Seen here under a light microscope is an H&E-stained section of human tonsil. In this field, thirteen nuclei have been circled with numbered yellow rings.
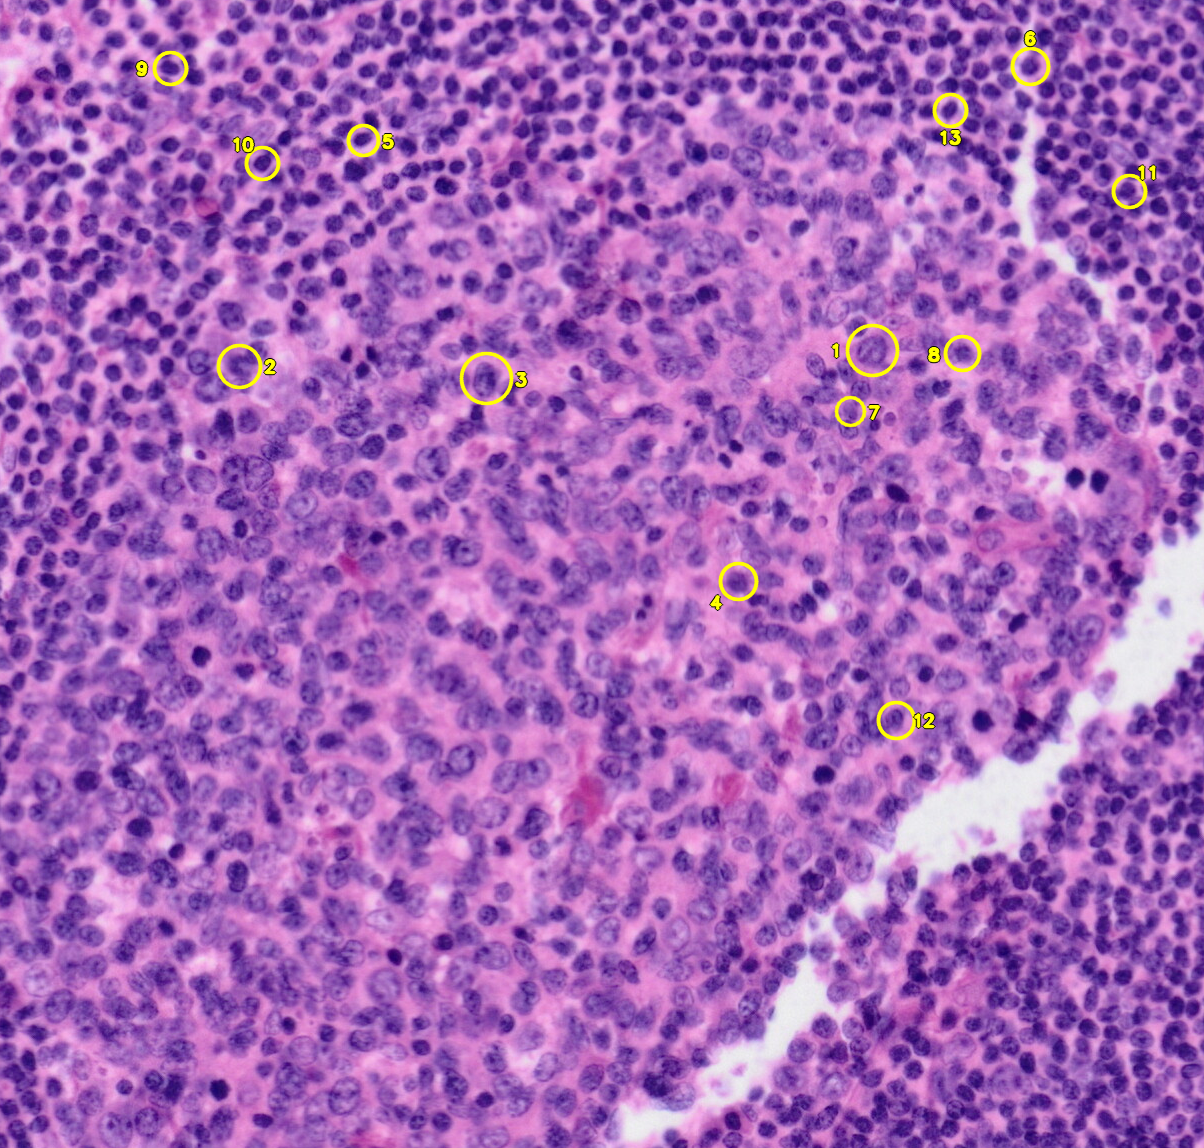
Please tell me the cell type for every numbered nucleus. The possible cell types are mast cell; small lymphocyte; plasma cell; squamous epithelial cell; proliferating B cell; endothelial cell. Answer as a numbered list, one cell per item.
1. proliferating B cell
2. proliferating B cell
3. proliferating B cell
4. proliferating B cell
5. small lymphocyte
6. small lymphocyte
7. proliferating B cell
8. proliferating B cell
9. small lymphocyte
10. small lymphocyte
11. small lymphocyte
12. proliferating B cell
13. small lymphocyte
